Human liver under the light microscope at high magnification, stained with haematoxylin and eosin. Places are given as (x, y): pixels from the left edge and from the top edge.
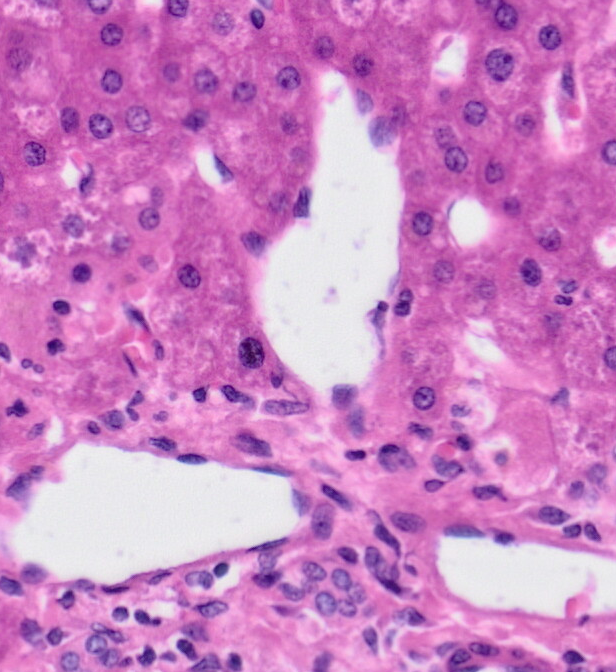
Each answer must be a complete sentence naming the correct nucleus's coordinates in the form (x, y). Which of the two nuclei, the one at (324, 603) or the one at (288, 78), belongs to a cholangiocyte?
Of these two nuclei, only the one at (324, 603) belongs to a cholangiocyte.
